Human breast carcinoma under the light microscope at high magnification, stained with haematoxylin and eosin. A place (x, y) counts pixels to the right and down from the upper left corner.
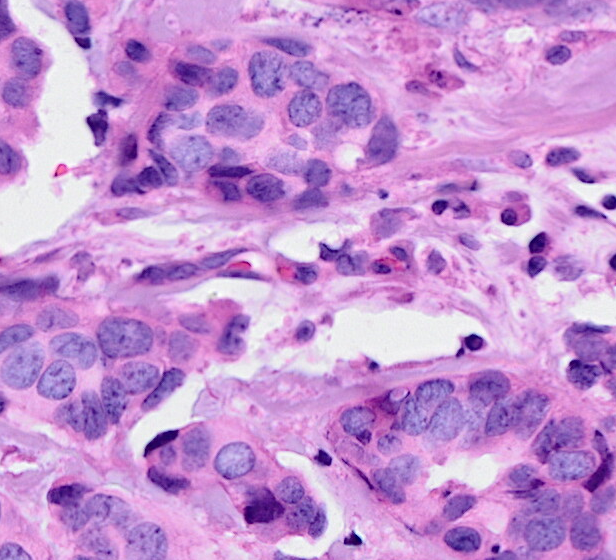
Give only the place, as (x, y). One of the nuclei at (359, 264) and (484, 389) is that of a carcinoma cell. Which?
(484, 389)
